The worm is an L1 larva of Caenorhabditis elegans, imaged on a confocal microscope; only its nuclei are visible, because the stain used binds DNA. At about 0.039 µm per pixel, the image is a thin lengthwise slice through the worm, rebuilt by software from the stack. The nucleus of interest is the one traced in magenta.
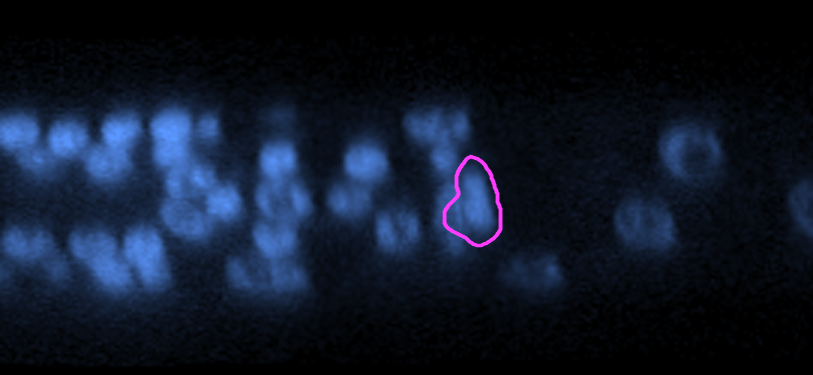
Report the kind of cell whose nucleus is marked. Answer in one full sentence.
It is the nucleus of a valve cell of the gut.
